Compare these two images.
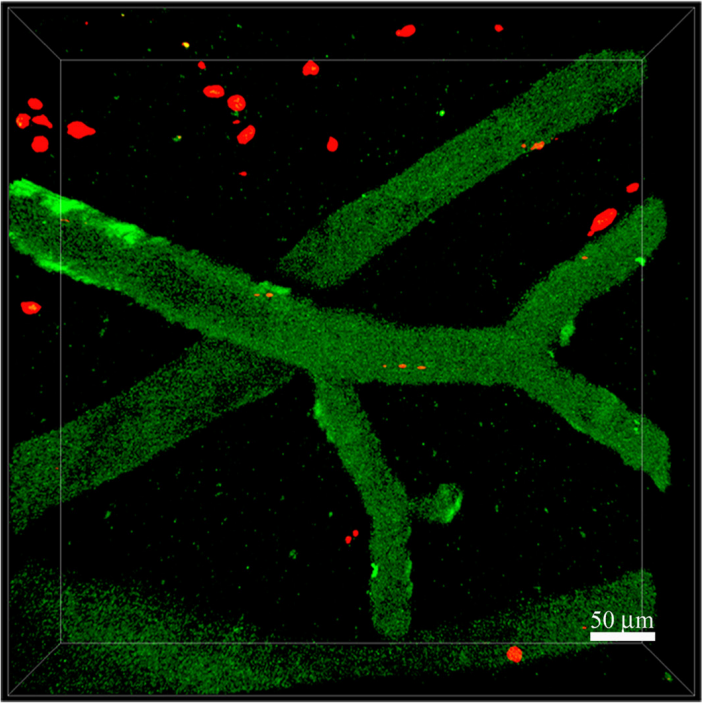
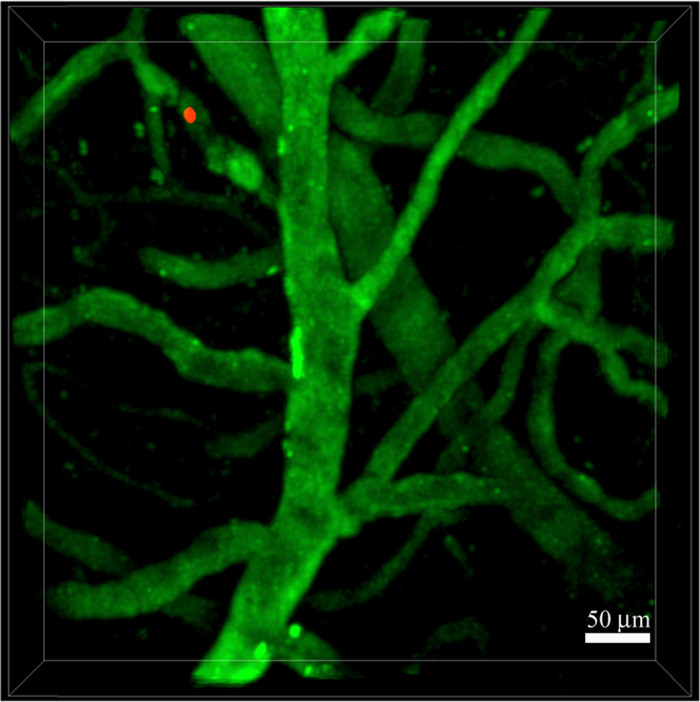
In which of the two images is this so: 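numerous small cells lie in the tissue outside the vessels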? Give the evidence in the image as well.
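The first image. First image: many red bodies are scattered in the dark space between the green tubes. Second image: a single red body is seen among a dense network of green tubes.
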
